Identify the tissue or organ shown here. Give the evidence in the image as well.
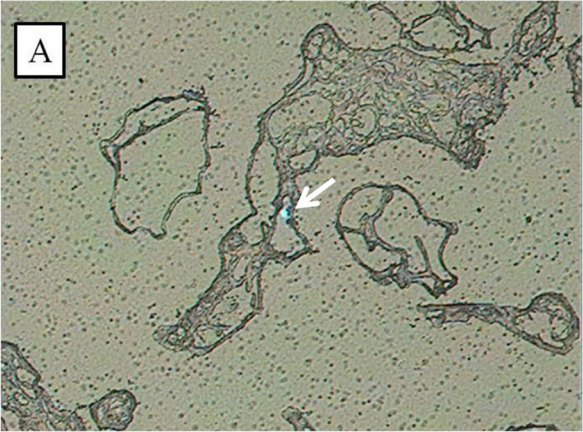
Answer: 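Chorionic villi. Several irregular, branching tissue islands float free in an empty background. Each island is bounded by a thin dark continuous rim. The islands hold a loose inner core with rounded profiles.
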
